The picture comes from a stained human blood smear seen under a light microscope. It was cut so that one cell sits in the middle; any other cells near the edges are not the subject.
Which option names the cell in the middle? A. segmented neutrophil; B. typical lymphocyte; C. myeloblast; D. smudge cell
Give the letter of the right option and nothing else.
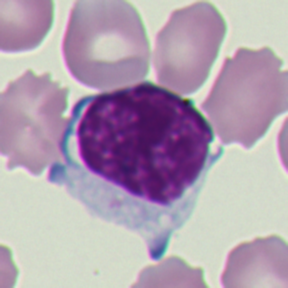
B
